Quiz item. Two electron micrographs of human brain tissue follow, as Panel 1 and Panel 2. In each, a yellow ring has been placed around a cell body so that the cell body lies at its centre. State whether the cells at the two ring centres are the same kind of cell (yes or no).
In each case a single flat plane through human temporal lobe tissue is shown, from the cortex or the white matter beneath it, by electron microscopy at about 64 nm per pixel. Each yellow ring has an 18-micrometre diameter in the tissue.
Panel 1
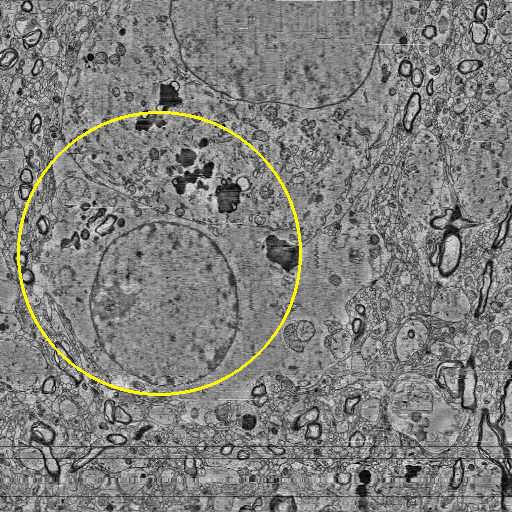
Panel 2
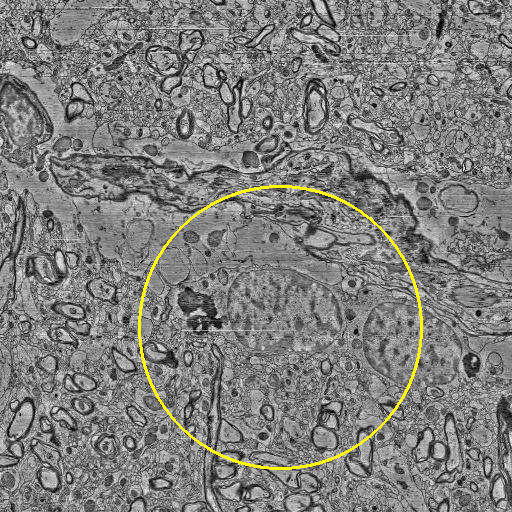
no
